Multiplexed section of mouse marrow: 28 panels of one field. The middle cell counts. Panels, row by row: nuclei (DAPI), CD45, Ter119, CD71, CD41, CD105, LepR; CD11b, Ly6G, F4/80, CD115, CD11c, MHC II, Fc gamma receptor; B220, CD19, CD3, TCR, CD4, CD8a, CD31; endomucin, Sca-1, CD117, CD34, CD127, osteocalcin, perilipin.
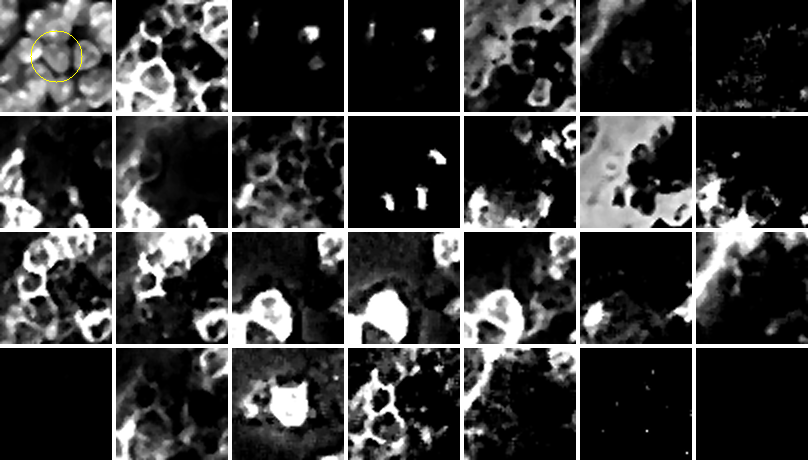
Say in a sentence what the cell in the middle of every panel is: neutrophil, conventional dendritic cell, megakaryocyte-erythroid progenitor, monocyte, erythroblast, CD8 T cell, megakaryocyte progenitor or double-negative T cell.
This is a megakaryocyte progenitor.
